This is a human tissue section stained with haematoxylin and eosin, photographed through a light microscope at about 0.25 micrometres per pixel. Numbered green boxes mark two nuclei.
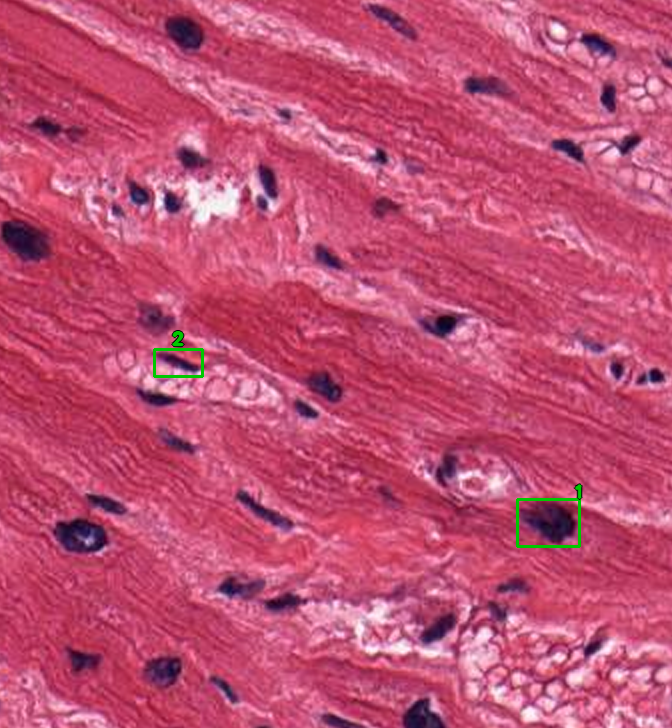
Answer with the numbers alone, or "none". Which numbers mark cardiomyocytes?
1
